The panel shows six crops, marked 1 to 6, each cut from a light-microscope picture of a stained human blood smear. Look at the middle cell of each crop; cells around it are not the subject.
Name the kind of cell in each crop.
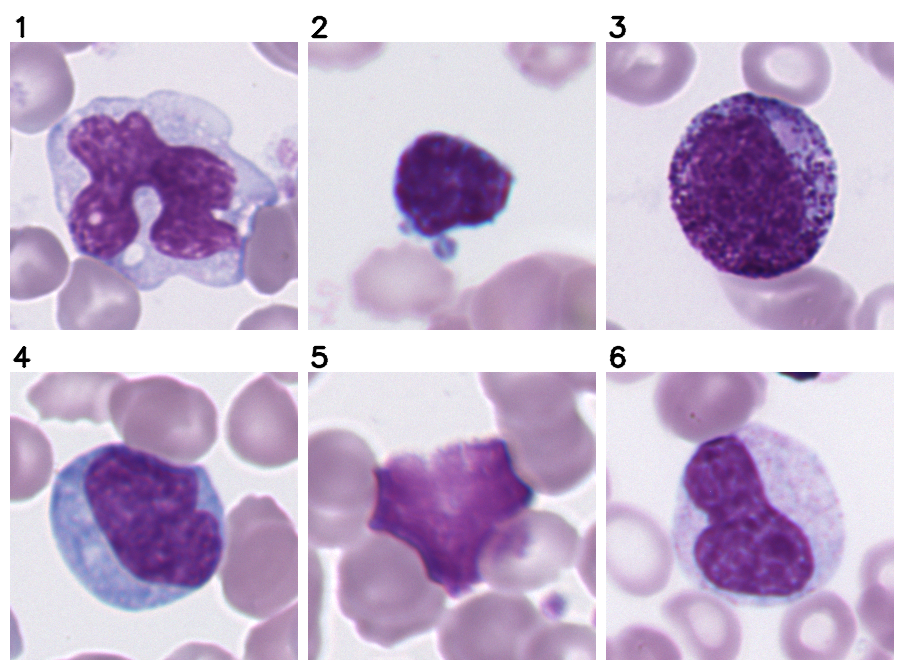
1: monocyte
2: typical lymphocyte
3: promyelocyte
4: myeloblast
5: smudge cell
6: band neutrophil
